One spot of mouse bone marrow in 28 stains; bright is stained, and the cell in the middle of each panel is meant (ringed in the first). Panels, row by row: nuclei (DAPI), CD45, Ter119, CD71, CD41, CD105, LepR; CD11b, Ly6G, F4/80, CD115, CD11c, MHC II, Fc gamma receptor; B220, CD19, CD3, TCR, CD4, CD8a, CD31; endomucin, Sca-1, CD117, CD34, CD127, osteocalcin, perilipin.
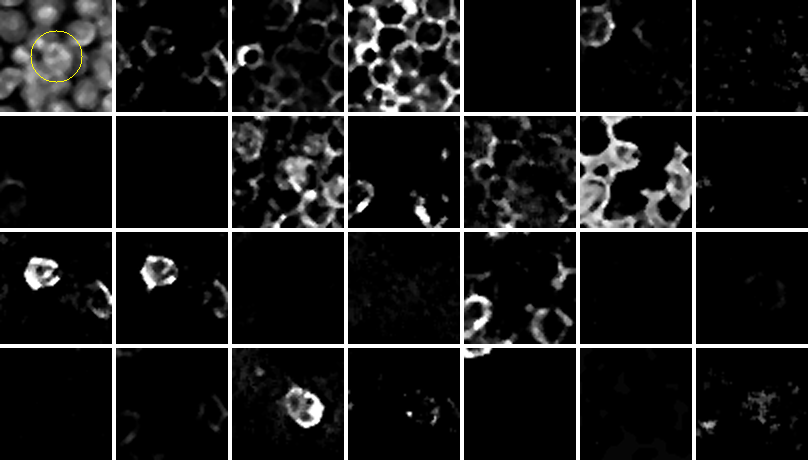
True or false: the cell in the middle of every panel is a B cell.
False; it is an erythroid progenitor (CFU-E).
